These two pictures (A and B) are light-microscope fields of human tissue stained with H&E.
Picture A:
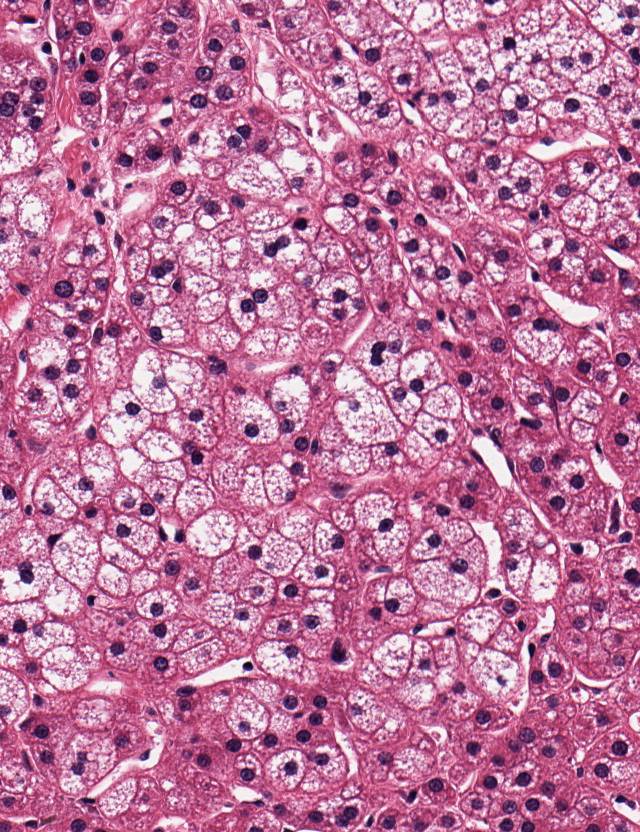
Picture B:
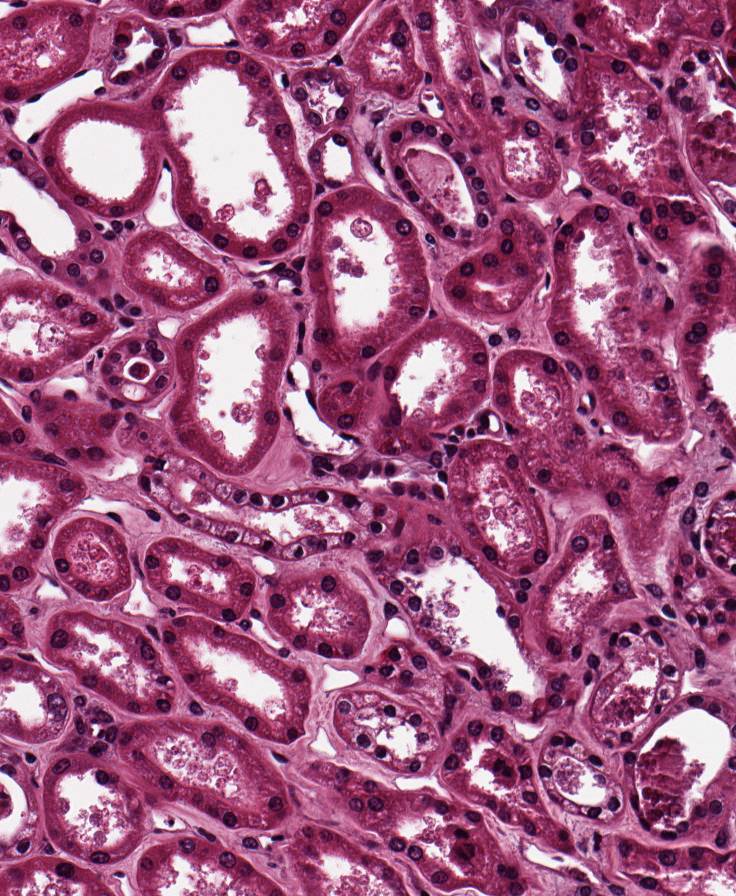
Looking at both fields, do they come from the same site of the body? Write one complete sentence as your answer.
No: picture A comes from the adrenal gland, but picture B comes from the renal cortex.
